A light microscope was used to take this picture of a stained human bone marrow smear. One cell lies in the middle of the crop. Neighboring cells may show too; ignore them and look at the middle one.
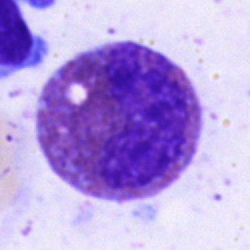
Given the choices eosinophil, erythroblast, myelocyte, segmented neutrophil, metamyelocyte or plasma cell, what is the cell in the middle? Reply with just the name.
eosinophil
